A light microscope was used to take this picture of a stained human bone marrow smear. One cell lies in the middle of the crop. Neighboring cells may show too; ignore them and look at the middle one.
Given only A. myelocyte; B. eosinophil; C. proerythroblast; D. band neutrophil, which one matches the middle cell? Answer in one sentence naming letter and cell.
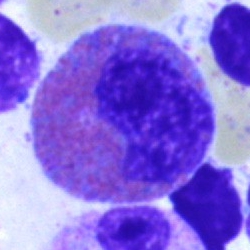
That the central cell is an eosinophil makes option B correct.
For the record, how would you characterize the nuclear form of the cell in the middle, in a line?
Worth pointing out that its nucleus is one compact mass, round, oval or reniform.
